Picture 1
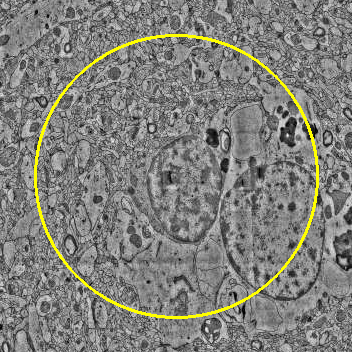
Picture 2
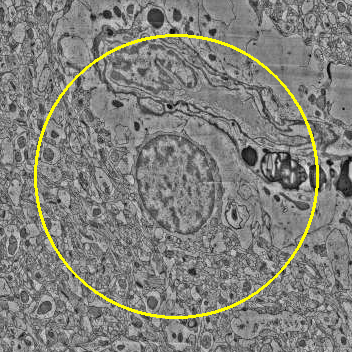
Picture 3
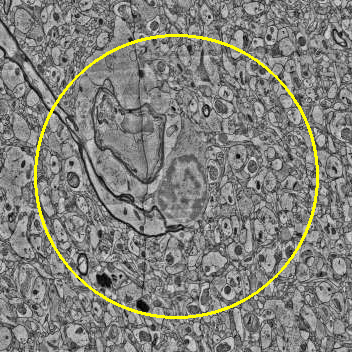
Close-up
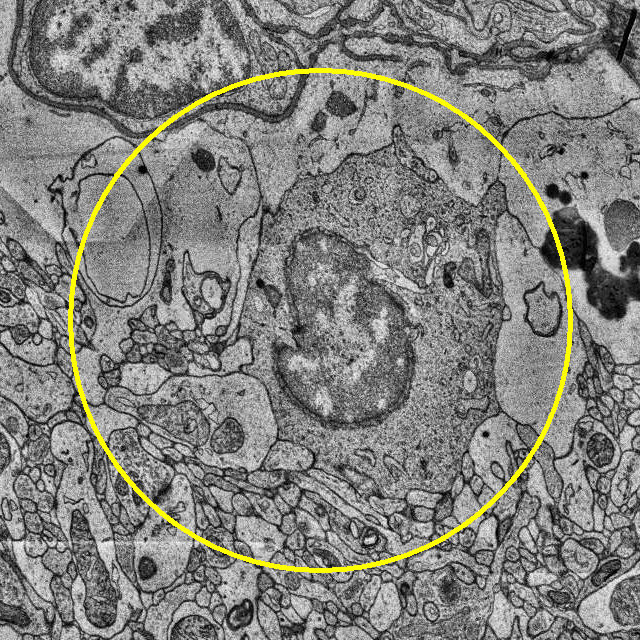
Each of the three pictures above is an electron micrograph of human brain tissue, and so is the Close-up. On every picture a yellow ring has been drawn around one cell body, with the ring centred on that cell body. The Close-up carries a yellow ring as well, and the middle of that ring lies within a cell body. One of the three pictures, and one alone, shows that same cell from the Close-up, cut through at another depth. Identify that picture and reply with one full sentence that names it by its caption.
The close-up pictures the cell encircled in Picture 2.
